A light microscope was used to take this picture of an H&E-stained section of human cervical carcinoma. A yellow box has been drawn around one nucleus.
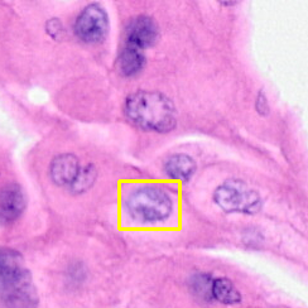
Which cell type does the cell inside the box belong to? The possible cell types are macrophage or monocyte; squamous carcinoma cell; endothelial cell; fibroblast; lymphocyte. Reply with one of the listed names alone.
squamous carcinoma cell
